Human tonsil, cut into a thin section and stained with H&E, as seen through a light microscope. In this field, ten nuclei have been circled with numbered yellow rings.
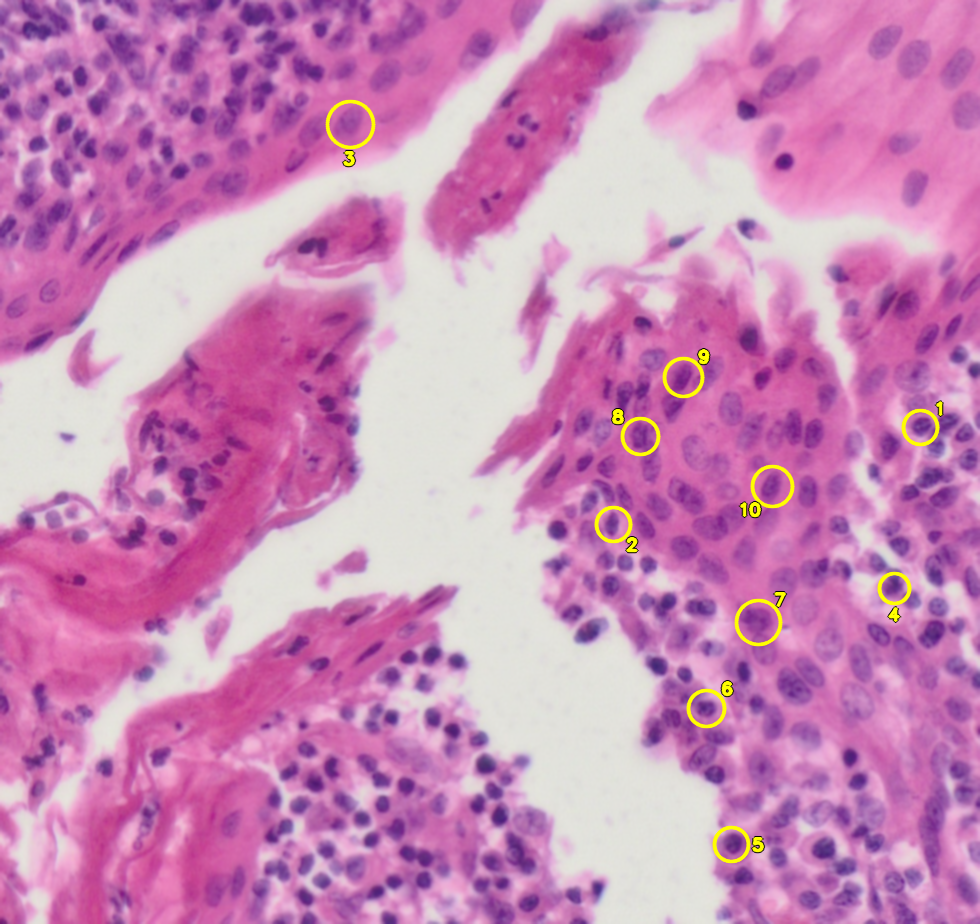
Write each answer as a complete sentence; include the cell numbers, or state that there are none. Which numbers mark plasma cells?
The numbers 1, 4, 5 and 6 mark cells that are plasma cells.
